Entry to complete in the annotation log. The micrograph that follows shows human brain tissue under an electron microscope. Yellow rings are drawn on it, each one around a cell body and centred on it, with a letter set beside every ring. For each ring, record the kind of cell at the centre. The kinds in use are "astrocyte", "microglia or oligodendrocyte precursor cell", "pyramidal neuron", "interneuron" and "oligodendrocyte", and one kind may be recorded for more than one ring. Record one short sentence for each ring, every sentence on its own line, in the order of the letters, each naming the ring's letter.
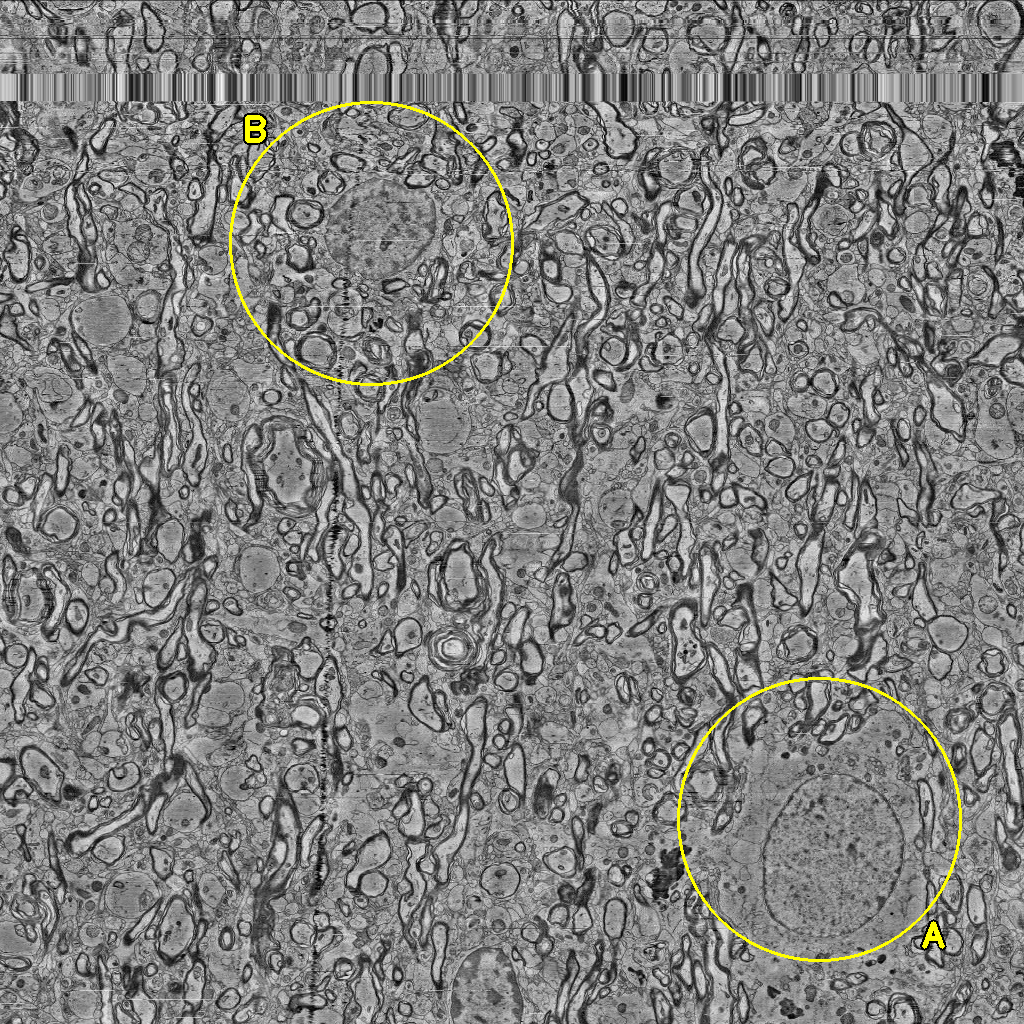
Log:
Ring A is placed around an astrocyte.
Ring B is placed around an oligodendrocyte.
